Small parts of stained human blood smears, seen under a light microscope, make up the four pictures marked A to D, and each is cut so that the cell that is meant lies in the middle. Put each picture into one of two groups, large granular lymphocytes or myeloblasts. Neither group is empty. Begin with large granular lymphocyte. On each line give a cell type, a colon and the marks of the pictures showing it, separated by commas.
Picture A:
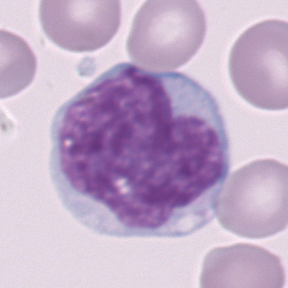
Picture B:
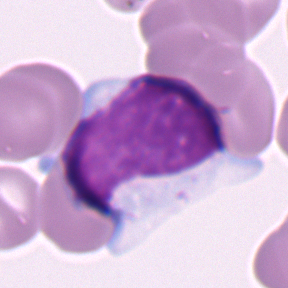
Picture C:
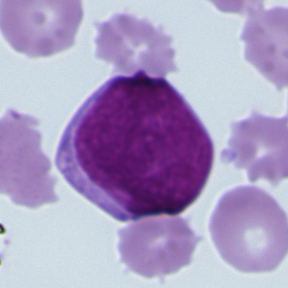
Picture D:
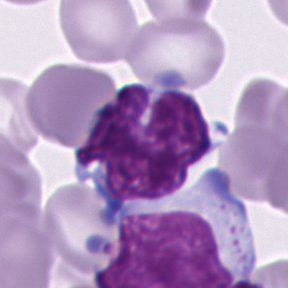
large granular lymphocyte: B, D
myeloblast: A, C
